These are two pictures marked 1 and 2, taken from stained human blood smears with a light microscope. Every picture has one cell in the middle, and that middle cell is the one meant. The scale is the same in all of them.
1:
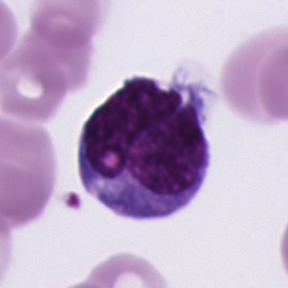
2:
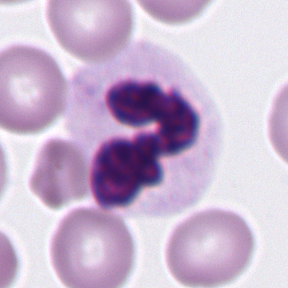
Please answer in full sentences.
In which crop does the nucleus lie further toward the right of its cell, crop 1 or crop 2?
In crop 2 the nucleus is shifted more toward the right.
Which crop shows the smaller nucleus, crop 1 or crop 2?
Smaller is the nucleus in crop 2, and the other is about 1.5 times as large in area.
